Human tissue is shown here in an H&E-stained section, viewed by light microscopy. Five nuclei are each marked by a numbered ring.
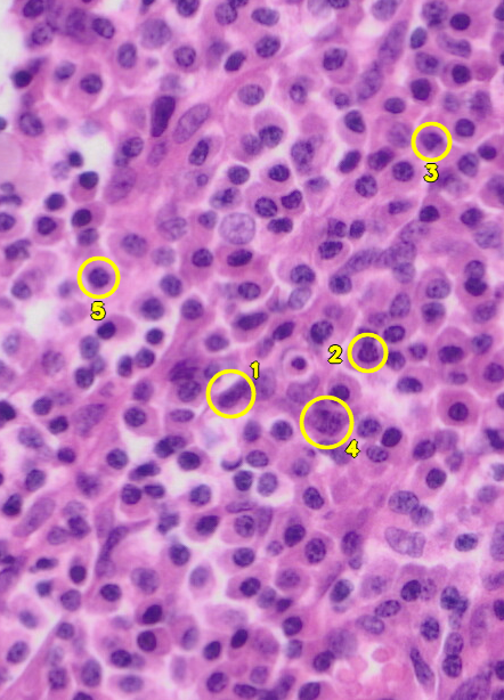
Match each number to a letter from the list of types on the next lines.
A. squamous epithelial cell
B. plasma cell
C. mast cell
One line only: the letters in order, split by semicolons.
A; B; B; A; B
